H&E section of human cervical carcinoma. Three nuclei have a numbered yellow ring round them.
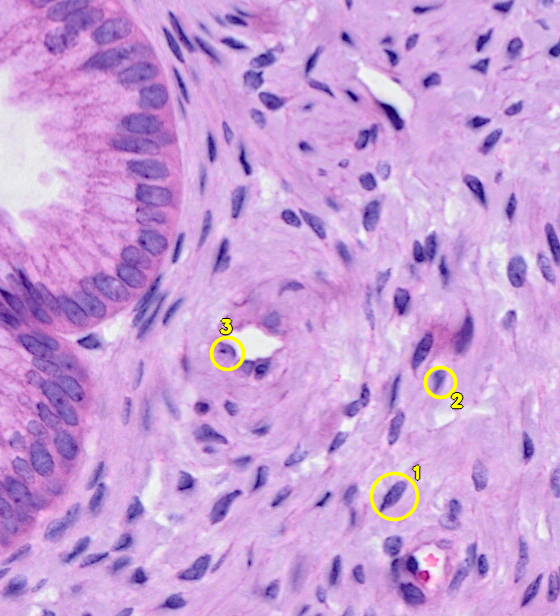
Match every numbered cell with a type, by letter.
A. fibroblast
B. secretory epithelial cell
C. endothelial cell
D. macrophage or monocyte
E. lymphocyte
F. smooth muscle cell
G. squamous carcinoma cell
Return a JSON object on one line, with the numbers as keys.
{"1": "A", "2": "A", "3": "C"}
